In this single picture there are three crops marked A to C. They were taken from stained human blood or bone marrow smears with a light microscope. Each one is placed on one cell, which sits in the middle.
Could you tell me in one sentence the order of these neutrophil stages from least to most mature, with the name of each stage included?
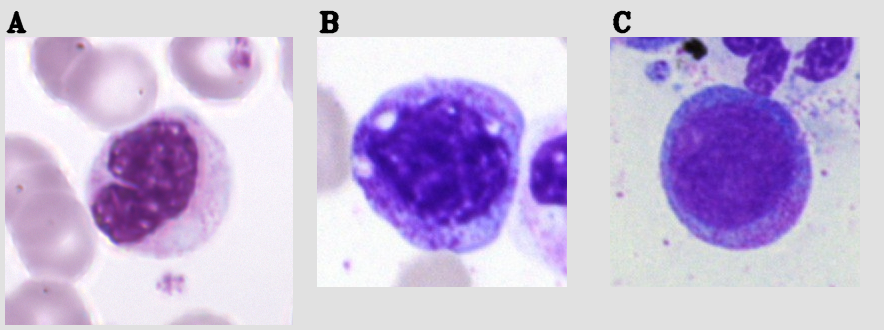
When lined up from least to most mature, the crops are crop C (a promyelocyte), crop B (a myelocyte) and crop A (a band neutrophil).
